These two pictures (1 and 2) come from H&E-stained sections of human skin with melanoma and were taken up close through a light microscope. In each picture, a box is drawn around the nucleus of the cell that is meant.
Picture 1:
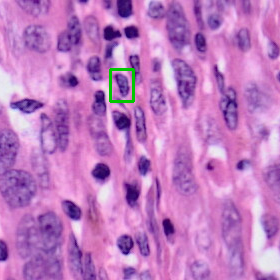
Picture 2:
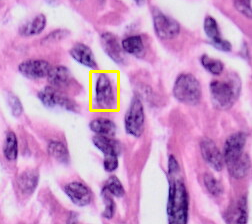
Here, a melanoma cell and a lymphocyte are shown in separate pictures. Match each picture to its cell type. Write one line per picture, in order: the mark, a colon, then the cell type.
1: lymphocyte
2: melanoma cell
